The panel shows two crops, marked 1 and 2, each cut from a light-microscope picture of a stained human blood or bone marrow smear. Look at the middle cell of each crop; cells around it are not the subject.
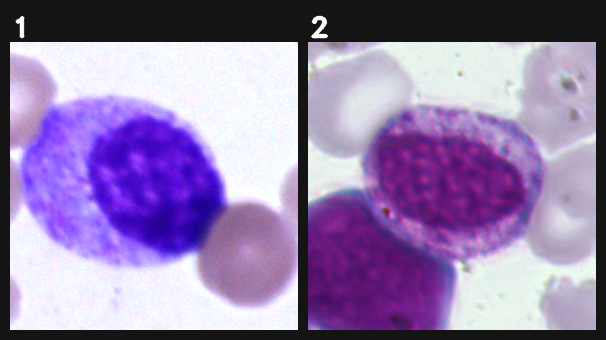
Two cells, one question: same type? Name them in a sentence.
Yes, both crops show myelocytes, and nothing else needs adding.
